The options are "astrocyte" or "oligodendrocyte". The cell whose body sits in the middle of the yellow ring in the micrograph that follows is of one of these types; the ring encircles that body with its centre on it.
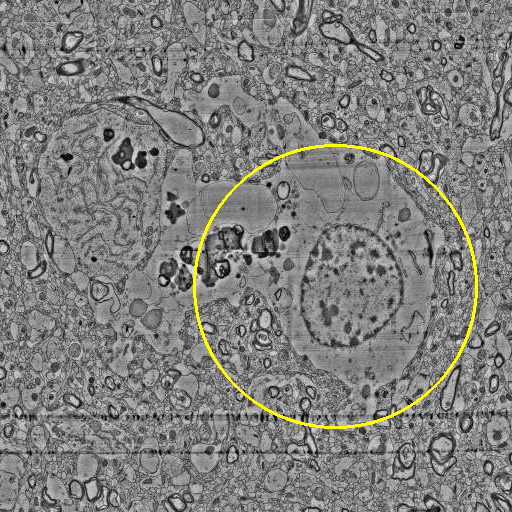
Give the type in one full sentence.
Going by the micrograph, the cell centred in the yellow ring is an astrocyte.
